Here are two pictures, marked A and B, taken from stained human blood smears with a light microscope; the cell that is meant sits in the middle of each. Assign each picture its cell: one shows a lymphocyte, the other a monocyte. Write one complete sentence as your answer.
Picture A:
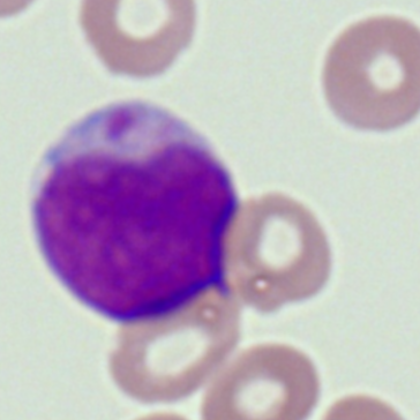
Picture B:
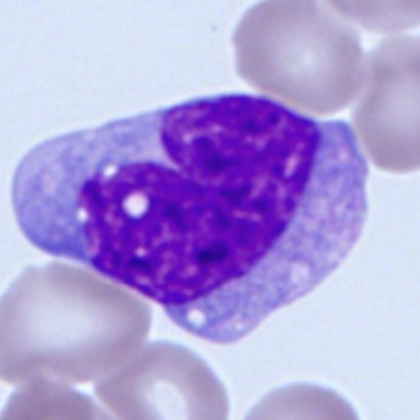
In picture A the cell is a lymphocyte; in picture B, a monocyte.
